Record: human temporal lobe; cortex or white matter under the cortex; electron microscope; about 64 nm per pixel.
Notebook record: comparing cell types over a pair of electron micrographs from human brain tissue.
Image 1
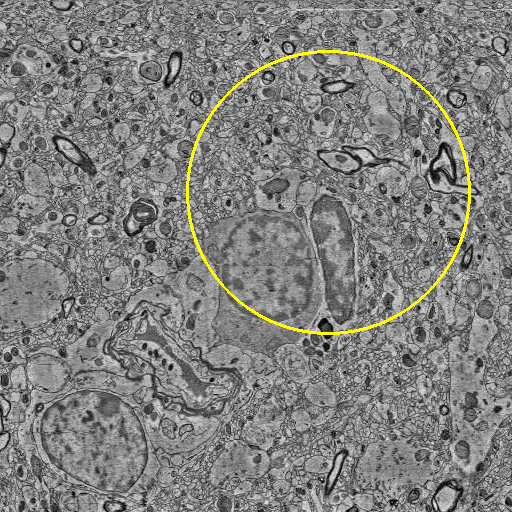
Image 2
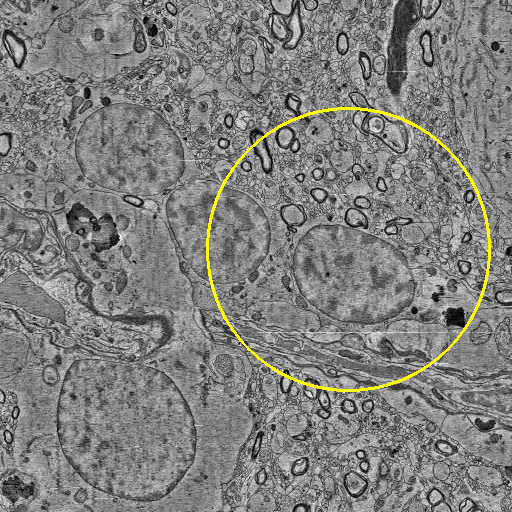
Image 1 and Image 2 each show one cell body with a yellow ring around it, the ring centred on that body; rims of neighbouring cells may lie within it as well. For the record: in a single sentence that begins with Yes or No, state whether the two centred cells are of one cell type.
No, two cell types are found among the centred cells of Image 1 and Image 2.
